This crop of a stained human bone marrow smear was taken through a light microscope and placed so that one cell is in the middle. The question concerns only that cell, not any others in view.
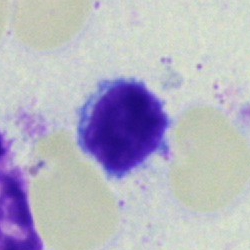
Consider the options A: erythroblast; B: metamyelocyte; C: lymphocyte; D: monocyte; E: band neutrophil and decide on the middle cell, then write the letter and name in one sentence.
That the central cell is a lymphocyte makes option C correct.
